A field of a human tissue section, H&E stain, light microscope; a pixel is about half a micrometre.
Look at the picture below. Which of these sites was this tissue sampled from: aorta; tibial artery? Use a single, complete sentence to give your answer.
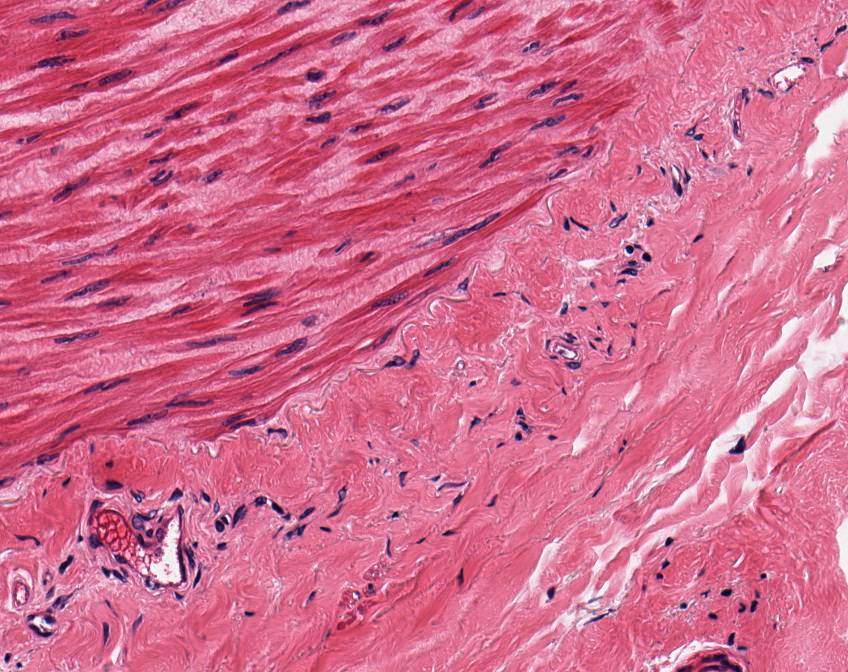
Sampling of this tissue was done from the tibial artery.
